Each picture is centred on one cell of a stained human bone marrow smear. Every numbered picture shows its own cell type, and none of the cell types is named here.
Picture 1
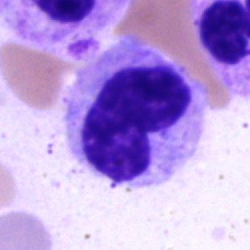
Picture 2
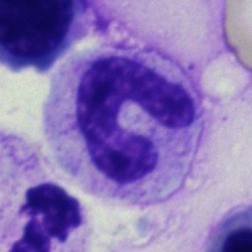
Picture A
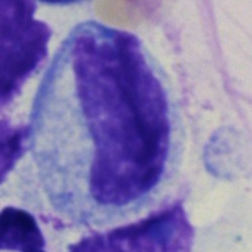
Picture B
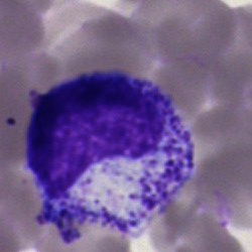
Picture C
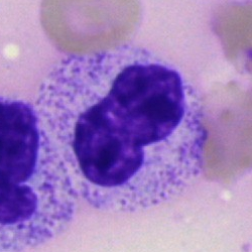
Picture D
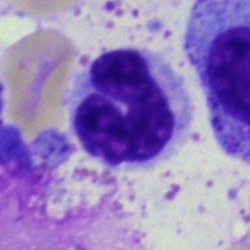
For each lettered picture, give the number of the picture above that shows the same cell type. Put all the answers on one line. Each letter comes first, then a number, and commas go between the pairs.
A 1, B 1, C 1, D 2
